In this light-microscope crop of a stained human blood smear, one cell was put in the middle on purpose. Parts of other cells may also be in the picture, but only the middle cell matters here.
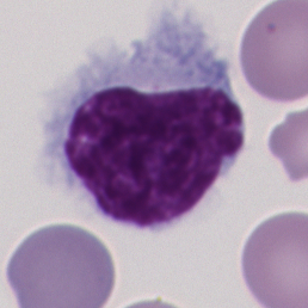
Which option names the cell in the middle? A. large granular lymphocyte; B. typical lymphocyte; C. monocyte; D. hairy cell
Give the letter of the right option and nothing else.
D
